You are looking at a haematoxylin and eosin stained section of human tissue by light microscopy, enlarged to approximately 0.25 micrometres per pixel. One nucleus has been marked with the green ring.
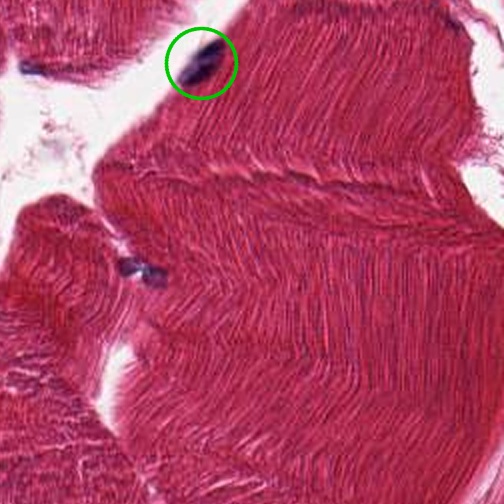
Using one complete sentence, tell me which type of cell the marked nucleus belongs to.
The nucleus bearing the mark belongs to a skeletal muscle fibre.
